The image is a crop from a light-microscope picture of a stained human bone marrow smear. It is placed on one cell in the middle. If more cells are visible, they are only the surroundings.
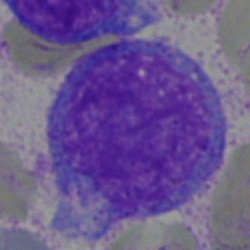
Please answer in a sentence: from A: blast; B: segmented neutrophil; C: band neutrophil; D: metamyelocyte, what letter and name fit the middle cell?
The cell shown centrally is a blast; option A is the correct option.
